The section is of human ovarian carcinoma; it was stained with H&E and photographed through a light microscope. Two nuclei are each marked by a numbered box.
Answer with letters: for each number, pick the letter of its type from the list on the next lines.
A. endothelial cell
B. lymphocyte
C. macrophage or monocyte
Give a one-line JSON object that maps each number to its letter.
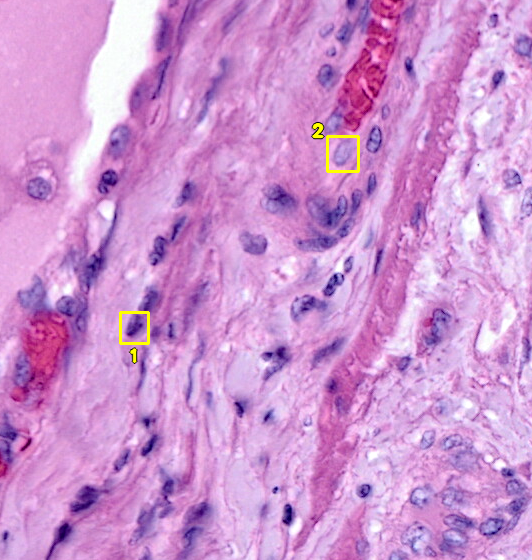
{"1": "B", "2": "A"}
